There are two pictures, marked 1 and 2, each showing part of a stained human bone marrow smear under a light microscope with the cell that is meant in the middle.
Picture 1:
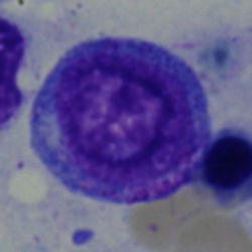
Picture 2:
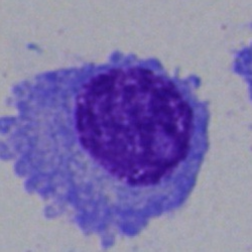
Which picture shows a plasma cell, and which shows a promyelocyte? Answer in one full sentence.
The cell in picture 1 is a promyelocyte, and the one in picture 2 is a plasma cell.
